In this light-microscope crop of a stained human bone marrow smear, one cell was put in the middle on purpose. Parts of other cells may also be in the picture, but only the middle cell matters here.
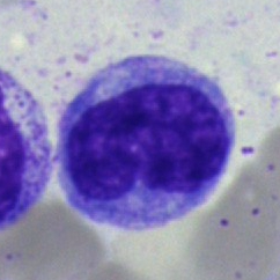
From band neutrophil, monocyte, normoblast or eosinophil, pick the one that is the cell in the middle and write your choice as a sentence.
The cell positioned in the middle of the field is a monocyte.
